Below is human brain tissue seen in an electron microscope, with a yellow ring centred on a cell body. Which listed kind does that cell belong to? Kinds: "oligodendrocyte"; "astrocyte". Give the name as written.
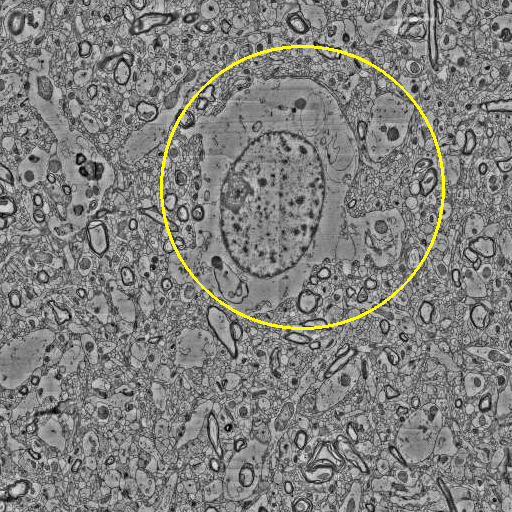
astrocyte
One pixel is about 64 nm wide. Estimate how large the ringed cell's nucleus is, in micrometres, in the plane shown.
The nucleus has a long axis of about 9 micrometres and a short axis of about 7 micrometres in this plane.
